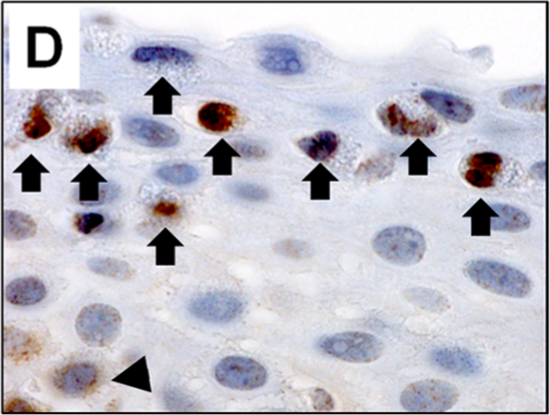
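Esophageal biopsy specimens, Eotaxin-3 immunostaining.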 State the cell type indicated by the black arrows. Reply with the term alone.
eosinophils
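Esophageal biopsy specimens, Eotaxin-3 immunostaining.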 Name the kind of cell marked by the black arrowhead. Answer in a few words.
squamous epithelial cell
